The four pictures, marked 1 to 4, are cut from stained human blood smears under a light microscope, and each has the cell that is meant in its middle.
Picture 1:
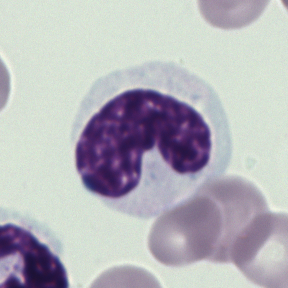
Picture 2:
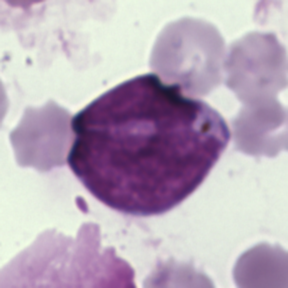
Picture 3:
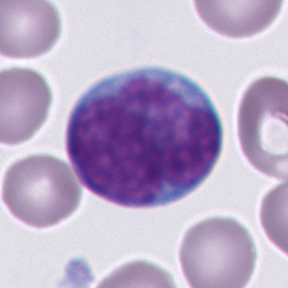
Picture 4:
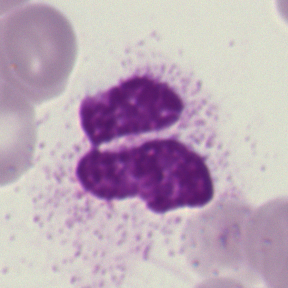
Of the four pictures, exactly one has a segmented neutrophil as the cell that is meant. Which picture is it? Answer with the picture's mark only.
4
